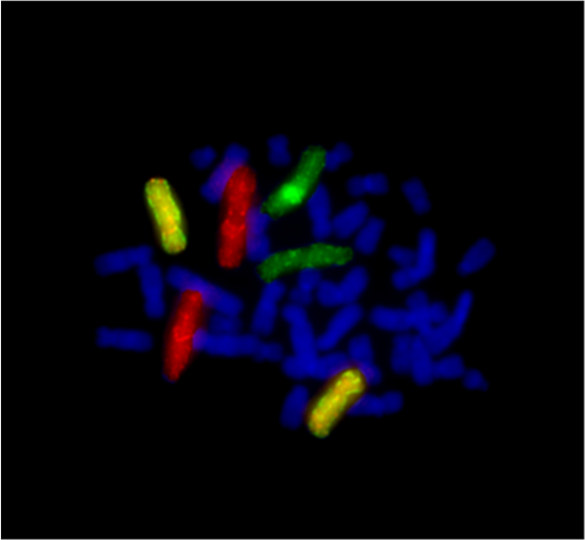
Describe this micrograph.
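Three chromosome pairs are painted along their whole length: two red, two green and two yellow rods, each colour appearing on exactly two chromosomes, as expected for homologous pairs. Each painted chromosome is a single uniform colour from end to end, with no segment of another colour attached, so the painted chromosomes look intact.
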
